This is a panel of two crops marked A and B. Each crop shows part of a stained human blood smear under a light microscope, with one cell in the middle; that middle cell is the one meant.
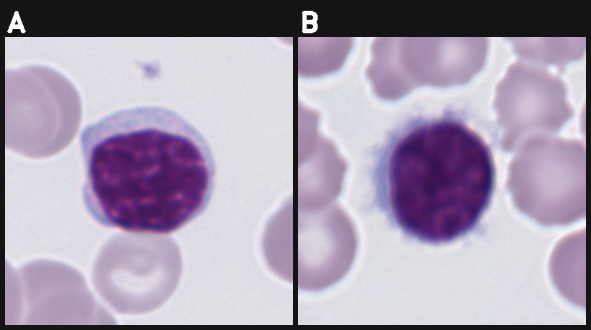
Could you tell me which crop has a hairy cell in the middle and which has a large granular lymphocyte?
A: large granular lymphocyte
B: hairy cell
